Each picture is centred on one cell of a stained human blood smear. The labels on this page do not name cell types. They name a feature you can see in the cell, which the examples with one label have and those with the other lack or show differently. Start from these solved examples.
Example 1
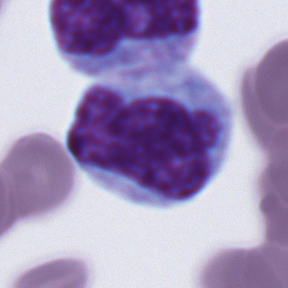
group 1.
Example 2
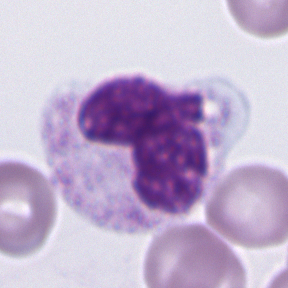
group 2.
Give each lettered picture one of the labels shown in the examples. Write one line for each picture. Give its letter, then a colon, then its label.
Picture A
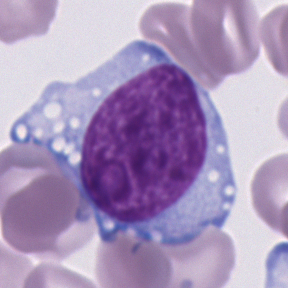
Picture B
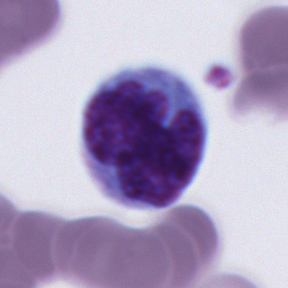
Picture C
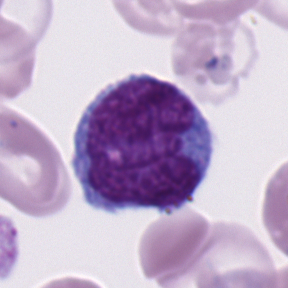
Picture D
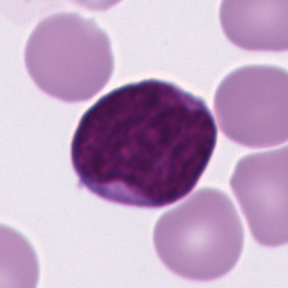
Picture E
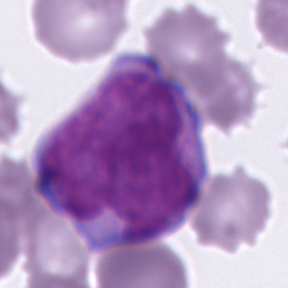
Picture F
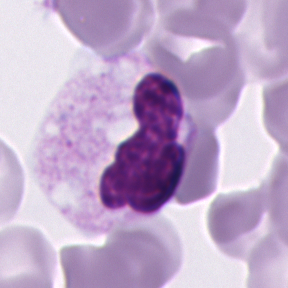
A: group 2.
B: group 1.
C: group 1.
D: group 1.
E: group 1.
F: group 2.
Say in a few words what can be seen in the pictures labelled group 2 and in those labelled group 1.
group 2: vacuoles present; group 1: no vacuoles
